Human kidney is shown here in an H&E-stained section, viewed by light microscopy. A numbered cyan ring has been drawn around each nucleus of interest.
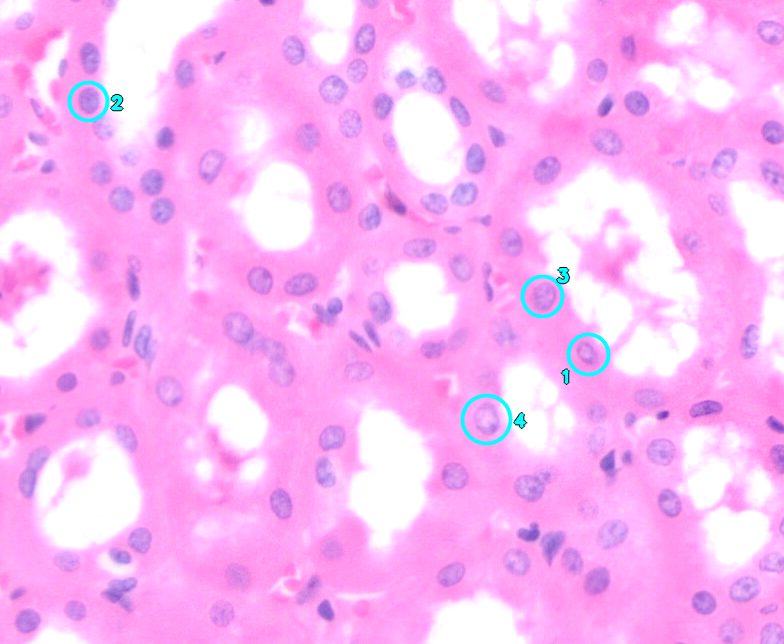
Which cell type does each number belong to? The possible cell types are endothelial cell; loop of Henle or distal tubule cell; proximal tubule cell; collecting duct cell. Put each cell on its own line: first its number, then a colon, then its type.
1: proximal tubule cell
2: loop of Henle or distal tubule cell
3: proximal tubule cell
4: proximal tubule cell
